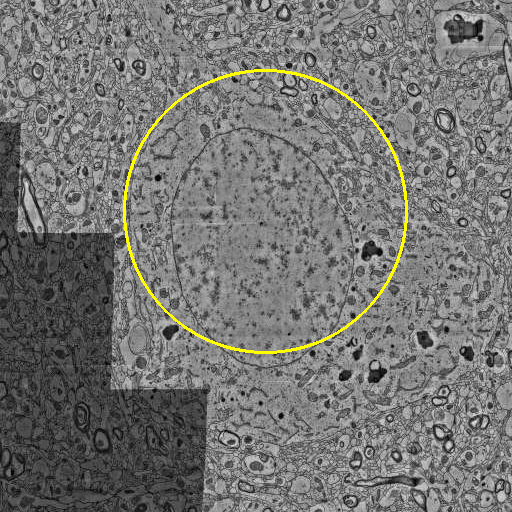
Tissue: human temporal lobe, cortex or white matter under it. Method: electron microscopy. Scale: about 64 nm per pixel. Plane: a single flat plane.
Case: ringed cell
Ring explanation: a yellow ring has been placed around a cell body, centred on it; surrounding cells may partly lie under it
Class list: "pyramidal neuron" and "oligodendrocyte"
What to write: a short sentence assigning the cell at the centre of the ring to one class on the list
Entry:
The cell at the ring's centre is a pyramidal neuron.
